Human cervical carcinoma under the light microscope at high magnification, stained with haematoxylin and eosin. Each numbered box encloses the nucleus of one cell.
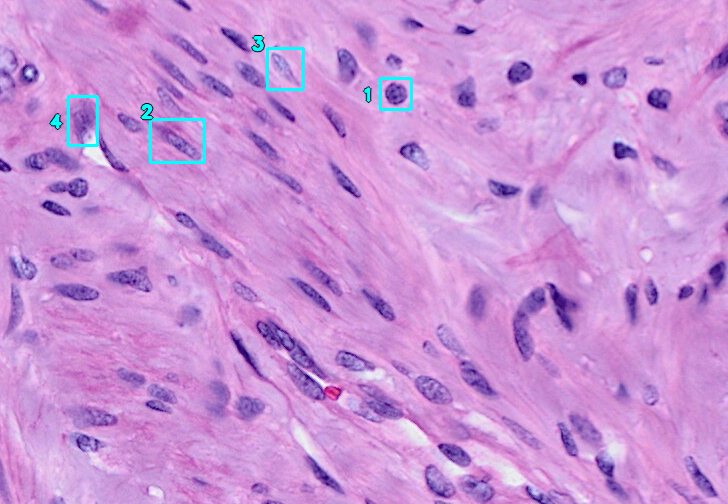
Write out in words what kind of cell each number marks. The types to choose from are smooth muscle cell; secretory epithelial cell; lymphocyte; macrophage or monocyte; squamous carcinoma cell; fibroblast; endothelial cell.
Cell 1 is a lymphocyte. Cell 2 is a smooth muscle cell. Cell 3 is a fibroblast. Cell 4 is an endothelial cell.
